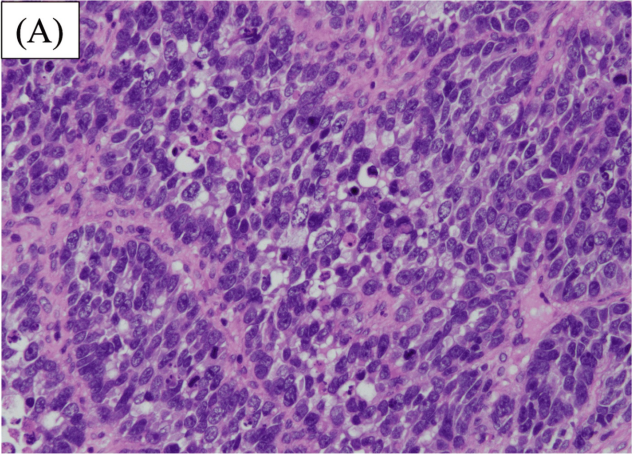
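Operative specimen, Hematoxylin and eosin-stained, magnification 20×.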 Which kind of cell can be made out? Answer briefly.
small cohesive cells with scant cytoplasm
